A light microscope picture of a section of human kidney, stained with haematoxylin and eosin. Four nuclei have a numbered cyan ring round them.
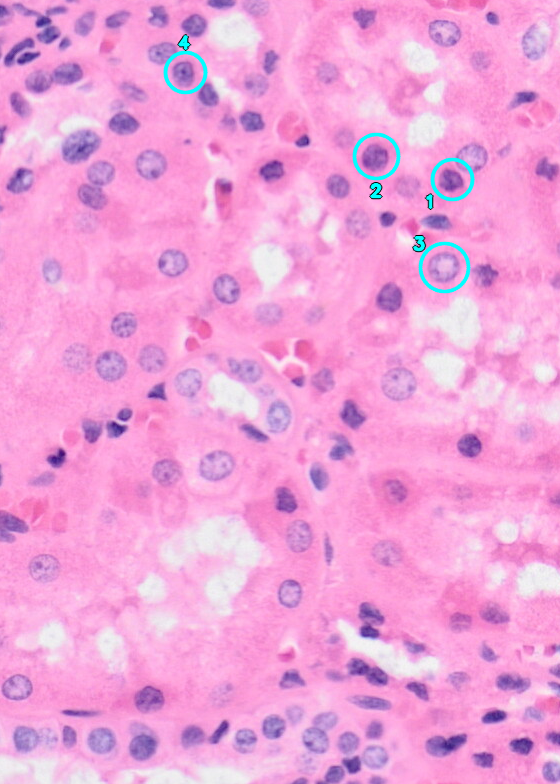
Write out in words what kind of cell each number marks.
Cells 1, 2 and 3 are proximal tubule cells. Cell 4 is a loop of Henle or distal tubule cell.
